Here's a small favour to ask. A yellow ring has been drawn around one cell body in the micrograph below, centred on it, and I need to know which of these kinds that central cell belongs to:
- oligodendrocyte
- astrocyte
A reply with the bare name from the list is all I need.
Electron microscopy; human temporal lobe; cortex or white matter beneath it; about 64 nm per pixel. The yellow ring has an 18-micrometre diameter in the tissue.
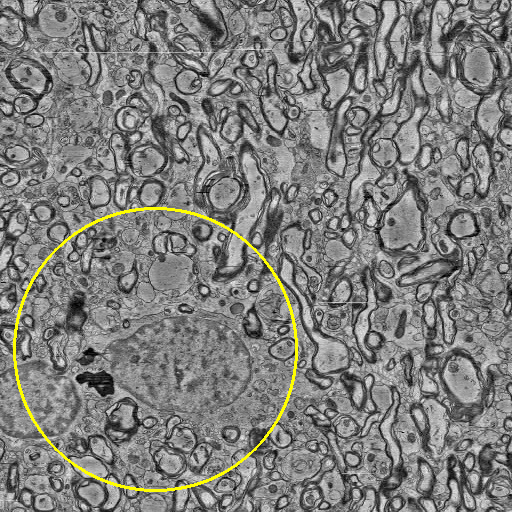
oligodendrocyte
